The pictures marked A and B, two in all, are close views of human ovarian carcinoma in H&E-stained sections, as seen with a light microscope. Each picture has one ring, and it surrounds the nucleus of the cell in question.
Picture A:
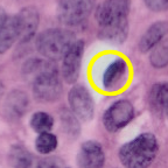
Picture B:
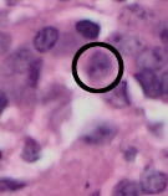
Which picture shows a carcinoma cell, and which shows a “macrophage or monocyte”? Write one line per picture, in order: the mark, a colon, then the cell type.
A: carcinoma cell
B: macrophage or monocyte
